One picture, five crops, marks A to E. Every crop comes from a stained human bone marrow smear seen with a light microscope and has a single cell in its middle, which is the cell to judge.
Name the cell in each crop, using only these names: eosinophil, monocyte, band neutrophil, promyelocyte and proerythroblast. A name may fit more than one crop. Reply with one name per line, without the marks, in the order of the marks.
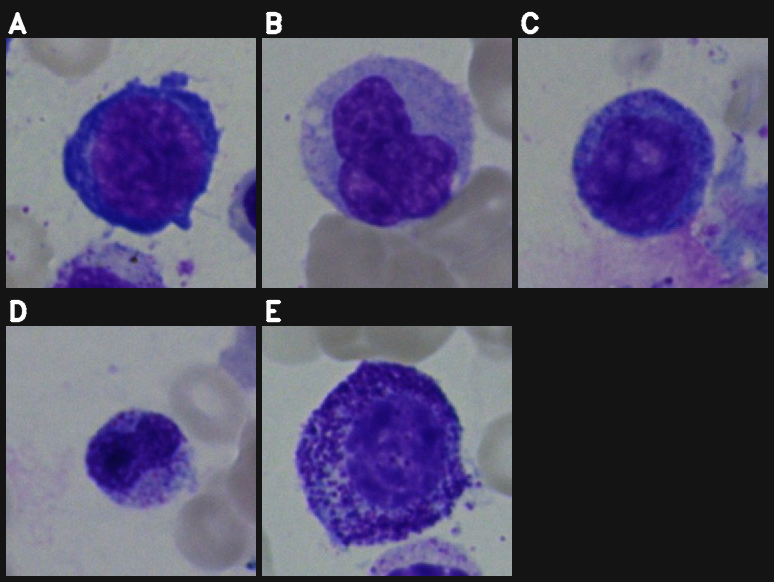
proerythroblast
monocyte
promyelocyte
band neutrophil
promyelocyte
